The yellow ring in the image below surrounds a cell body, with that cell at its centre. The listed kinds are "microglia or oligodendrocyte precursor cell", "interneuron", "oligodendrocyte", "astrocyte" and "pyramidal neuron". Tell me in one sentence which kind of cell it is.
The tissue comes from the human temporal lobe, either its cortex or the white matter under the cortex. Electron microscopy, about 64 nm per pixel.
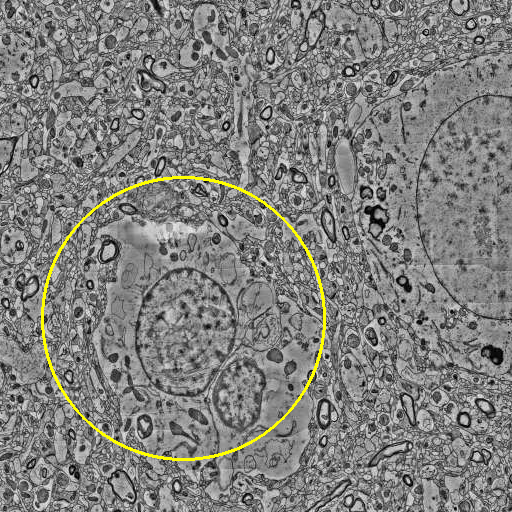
The centre of the ring holds an astrocyte.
